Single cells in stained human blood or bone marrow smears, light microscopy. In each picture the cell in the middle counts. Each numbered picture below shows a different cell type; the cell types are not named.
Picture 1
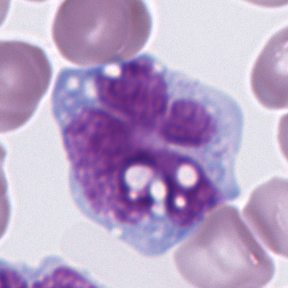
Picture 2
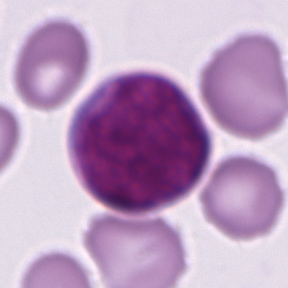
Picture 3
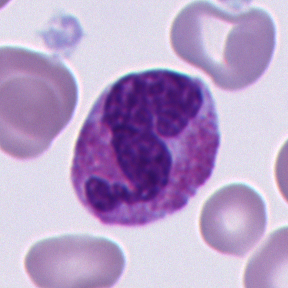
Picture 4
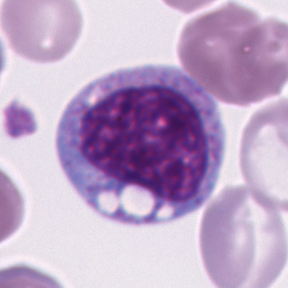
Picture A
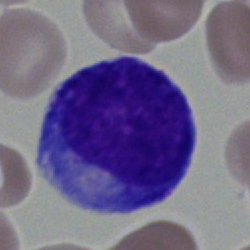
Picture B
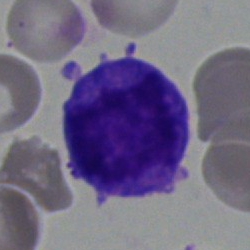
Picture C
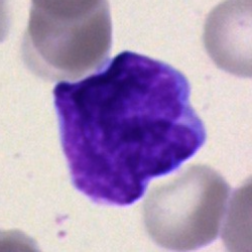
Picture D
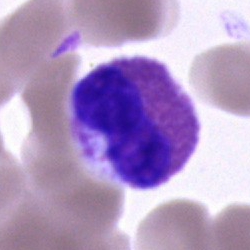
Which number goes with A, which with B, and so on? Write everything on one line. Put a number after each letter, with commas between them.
A 4, B 4, C 2, D 3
